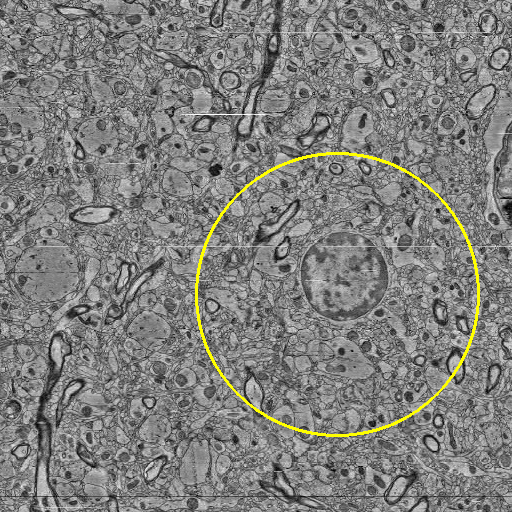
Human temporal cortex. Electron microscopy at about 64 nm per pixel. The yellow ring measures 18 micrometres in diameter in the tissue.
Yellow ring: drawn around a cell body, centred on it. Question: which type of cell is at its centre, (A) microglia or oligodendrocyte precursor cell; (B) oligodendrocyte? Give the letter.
A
